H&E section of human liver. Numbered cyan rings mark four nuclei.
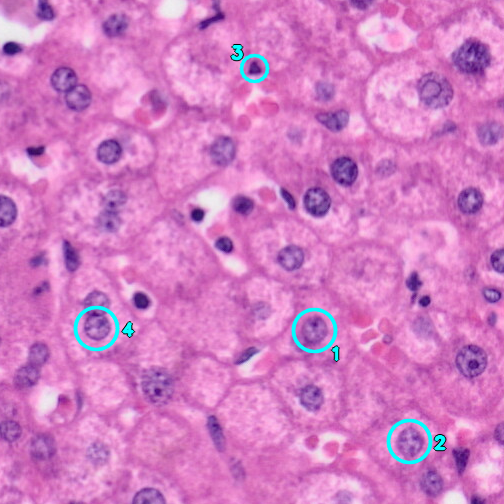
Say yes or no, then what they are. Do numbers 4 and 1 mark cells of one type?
Yes, among the marked cells, numbers 4 and 1 are both hepatocytes.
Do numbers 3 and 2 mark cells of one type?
No, cell 3 is a fibroblast or stellate cell, whereas a hepatocyte is what cell 2 is.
